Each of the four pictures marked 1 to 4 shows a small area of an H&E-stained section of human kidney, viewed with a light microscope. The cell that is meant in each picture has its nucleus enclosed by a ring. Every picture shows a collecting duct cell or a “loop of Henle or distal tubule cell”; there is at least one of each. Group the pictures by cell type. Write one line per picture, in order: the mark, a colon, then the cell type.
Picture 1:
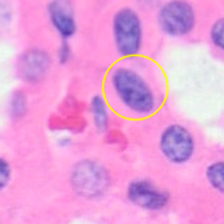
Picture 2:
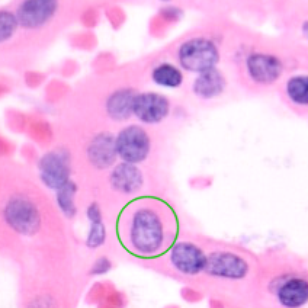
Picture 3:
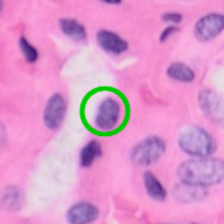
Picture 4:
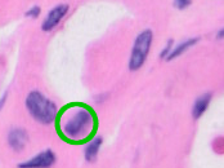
1: collecting duct cell
2: collecting duct cell
3: loop of Henle or distal tubule cell
4: collecting duct cell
